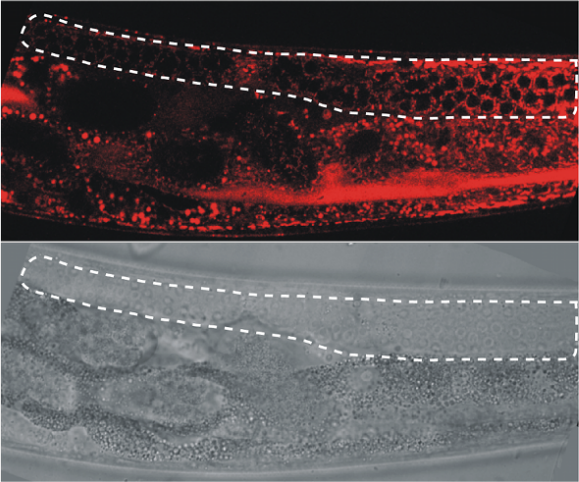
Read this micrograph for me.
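Below the gonad the body is filled with red puncta and larger red droplets around dark unlabeled regions. A bright, broad red band runs lengthwise along the lower part of the body. In the lower transmitted-light image the gonad tube holds many small round nuclei of similar size, while the tissue beneath is coarsely granular.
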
